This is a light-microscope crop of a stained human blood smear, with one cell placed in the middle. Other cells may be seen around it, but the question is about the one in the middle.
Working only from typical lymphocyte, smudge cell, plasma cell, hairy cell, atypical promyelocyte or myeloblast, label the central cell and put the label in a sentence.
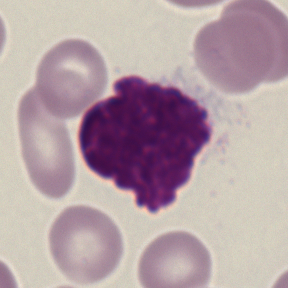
The cell at the heart of this crop is a smudge cell.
